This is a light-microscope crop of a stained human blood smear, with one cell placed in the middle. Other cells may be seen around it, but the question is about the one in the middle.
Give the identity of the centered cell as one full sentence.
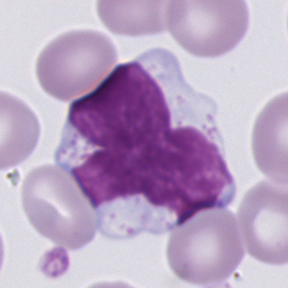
The middle cell in this particular crop is a large granular lymphocyte.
